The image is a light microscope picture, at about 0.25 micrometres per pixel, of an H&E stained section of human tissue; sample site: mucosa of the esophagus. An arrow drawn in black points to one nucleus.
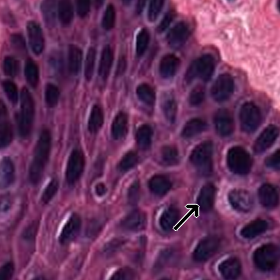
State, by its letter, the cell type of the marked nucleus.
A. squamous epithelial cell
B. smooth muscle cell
A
